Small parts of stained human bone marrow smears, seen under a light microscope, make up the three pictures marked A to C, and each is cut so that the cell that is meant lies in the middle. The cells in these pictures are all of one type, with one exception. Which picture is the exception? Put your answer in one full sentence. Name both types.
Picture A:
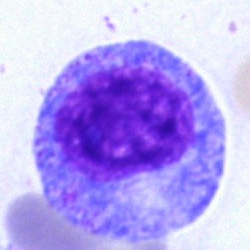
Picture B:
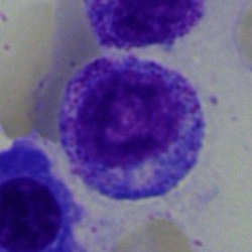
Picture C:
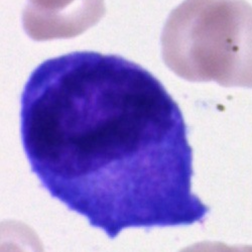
Unlike the rest, which show promyelocytes, picture C shows a blast.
